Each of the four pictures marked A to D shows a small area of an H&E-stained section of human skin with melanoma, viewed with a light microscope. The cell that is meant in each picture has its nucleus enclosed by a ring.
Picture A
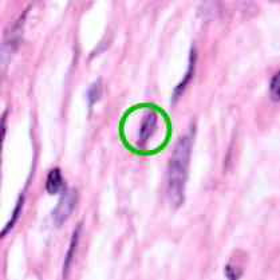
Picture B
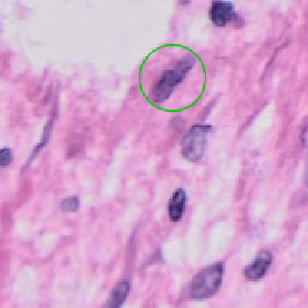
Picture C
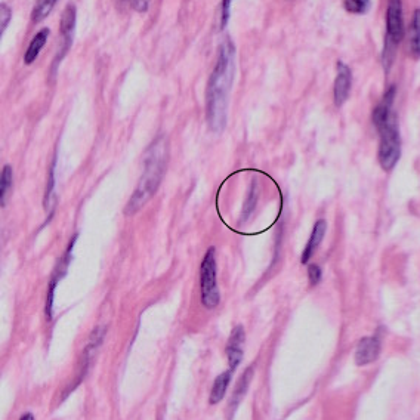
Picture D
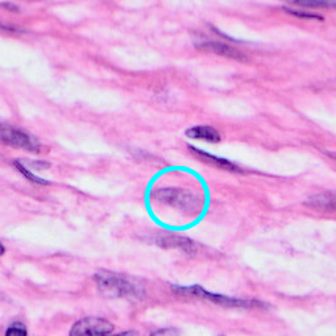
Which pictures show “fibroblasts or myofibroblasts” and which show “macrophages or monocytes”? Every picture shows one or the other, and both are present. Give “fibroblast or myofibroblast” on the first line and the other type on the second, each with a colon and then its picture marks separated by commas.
fibroblast or myofibroblast: A, C, D
macrophage or monocyte: B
